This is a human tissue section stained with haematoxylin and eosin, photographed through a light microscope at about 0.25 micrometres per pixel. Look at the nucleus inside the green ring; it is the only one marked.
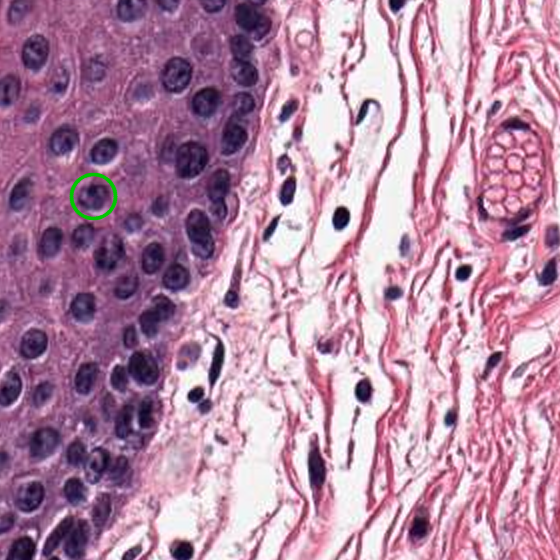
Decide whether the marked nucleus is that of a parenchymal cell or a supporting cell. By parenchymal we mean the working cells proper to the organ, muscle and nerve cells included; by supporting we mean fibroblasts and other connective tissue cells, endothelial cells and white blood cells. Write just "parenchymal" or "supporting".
parenchymal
